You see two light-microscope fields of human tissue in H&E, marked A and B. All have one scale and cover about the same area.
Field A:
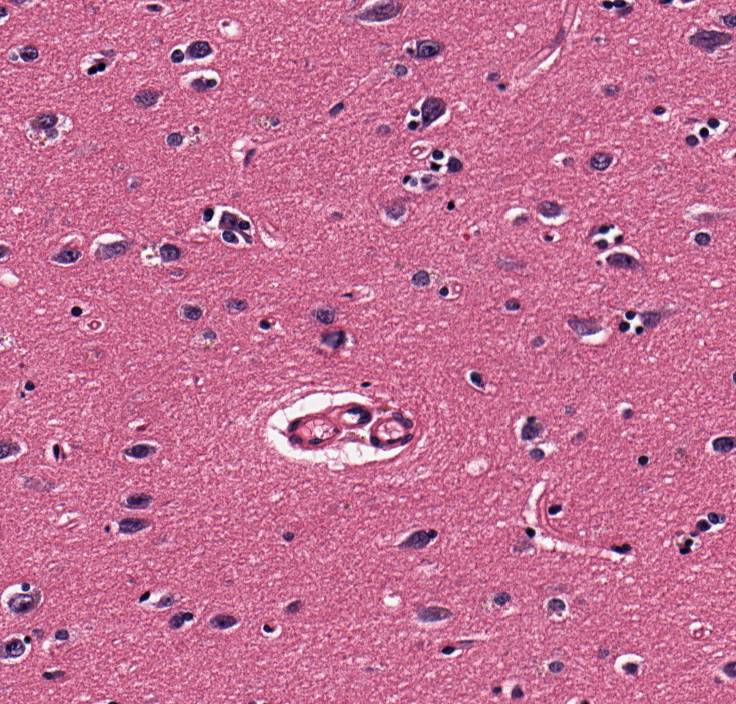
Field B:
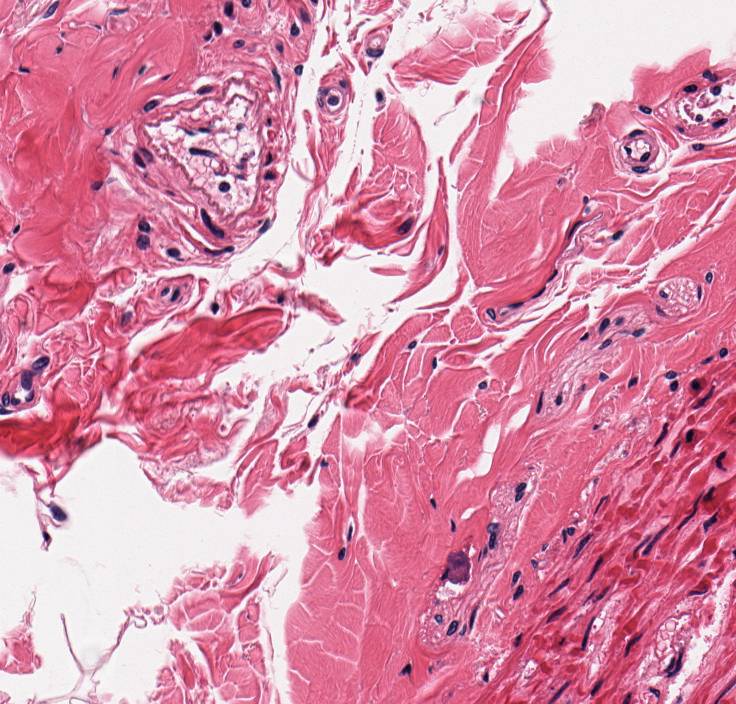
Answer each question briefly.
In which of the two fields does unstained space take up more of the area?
B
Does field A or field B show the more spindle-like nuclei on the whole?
B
